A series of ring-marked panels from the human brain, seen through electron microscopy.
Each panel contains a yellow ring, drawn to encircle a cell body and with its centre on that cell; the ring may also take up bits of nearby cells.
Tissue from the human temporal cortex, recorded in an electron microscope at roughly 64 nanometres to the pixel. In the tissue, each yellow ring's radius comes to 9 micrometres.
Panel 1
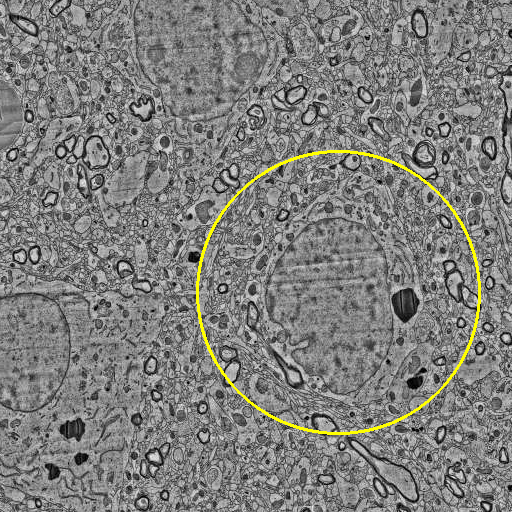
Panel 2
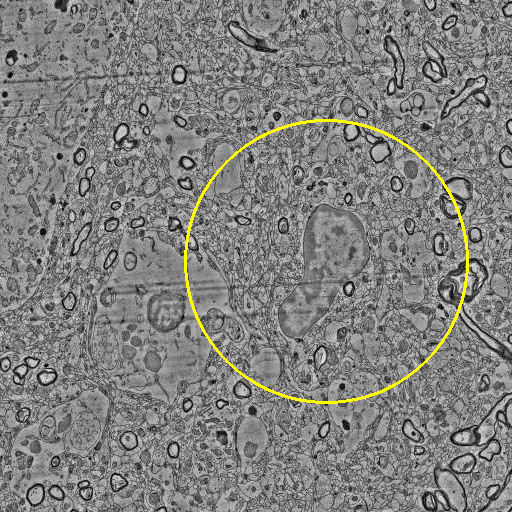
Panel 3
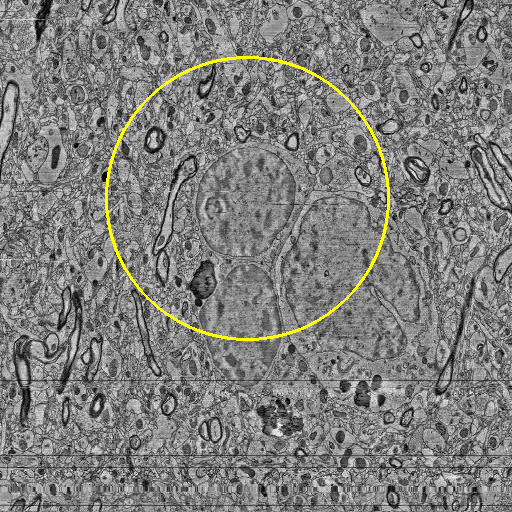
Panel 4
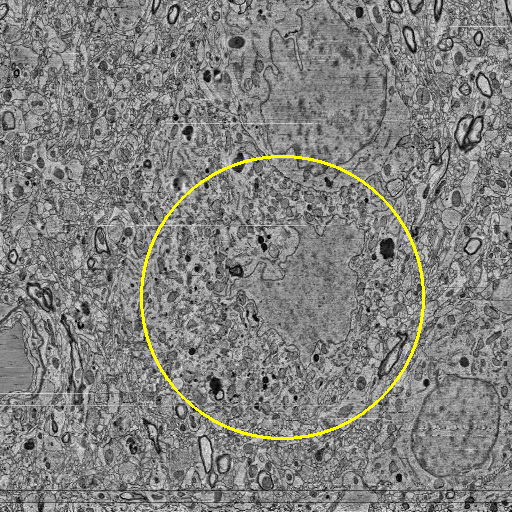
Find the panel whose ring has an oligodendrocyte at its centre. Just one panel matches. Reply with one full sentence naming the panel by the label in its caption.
The sought cell lies at the centre of the ring shown in Panel 3.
